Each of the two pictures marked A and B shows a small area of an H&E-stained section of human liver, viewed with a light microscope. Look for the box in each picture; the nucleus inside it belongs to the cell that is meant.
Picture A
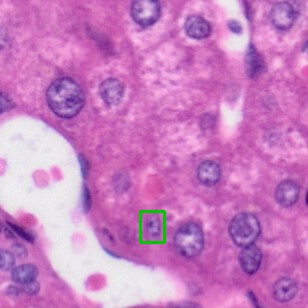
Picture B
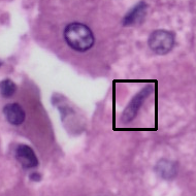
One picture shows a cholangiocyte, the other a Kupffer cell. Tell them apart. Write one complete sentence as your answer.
Picture A is of a cholangiocyte, and picture B is of a Kupffer cell.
